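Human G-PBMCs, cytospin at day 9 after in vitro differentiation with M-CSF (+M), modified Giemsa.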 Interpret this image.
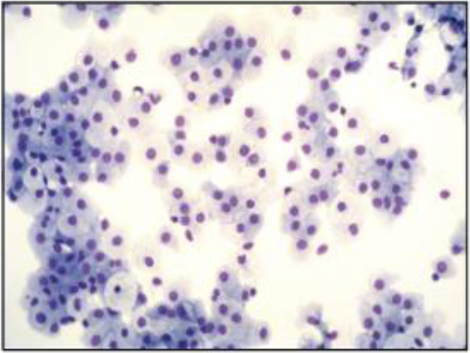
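Most cells have a round to oval purple nucleus surrounded by a rim of pale blue to grey cytoplasm of varying width. The cells crowd together along the left and lower edges of the field. In the centre they form looser groups, with clear background between them.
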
